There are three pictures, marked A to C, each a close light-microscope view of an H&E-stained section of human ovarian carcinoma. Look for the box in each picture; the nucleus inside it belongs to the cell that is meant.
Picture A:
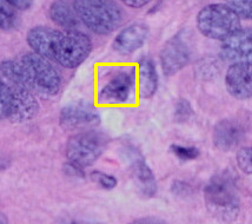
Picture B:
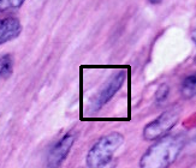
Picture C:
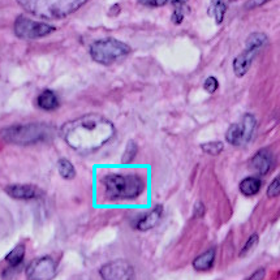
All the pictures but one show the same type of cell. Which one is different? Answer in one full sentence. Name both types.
The others show “macrophages or monocytes”, but picture B shows a fibroblast.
